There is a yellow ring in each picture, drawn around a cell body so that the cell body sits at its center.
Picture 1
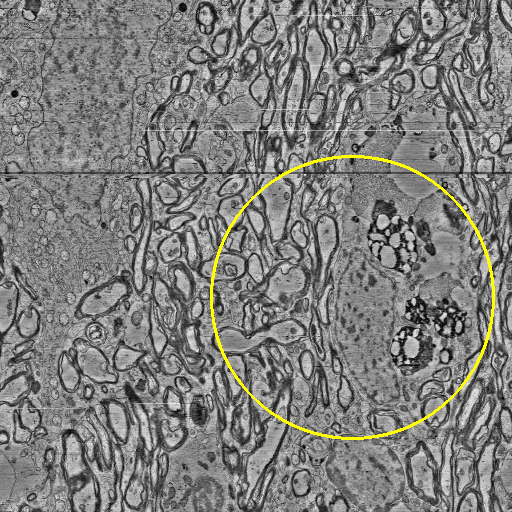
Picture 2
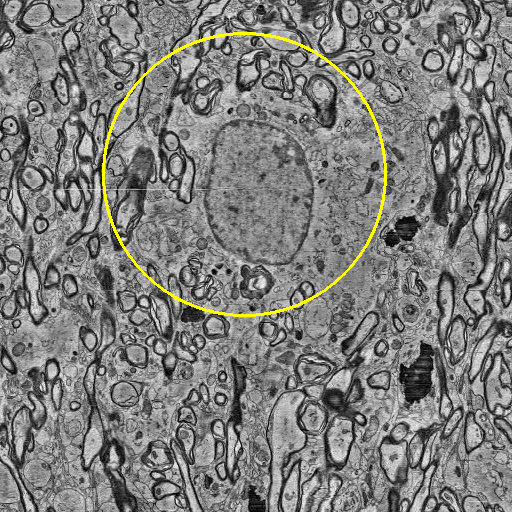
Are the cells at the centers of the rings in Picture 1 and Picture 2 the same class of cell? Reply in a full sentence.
Yes, the two cells are the same class of cell.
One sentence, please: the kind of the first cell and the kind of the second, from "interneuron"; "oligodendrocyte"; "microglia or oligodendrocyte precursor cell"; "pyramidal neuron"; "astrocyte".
Both pictures show an astrocyte at the centre of the ring.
